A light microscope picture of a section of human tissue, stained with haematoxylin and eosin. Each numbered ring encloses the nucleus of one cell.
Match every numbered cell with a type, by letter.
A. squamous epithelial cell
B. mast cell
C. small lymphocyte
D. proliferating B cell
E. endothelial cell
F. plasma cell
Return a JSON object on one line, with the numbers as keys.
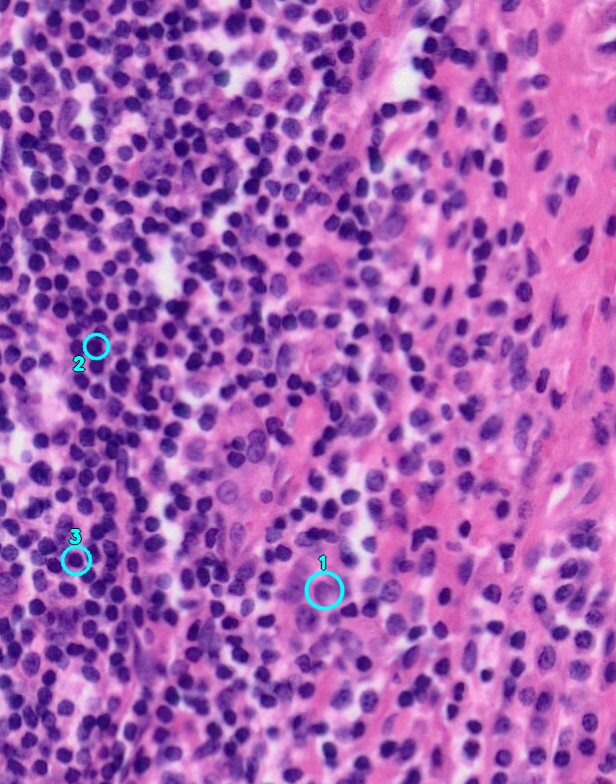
{"1": "E", "2": "C", "3": "C"}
